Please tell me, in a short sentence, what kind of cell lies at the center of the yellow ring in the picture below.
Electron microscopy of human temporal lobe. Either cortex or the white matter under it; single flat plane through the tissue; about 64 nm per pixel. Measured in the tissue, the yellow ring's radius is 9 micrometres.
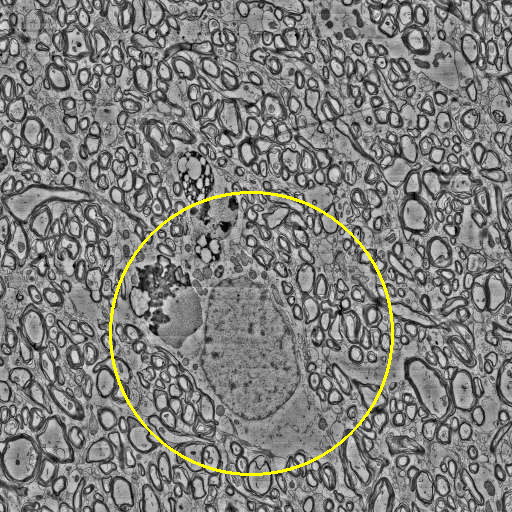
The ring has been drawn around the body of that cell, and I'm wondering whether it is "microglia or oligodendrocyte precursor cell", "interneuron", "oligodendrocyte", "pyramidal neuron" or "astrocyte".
The cell at the center of the ring is an astrocyte.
